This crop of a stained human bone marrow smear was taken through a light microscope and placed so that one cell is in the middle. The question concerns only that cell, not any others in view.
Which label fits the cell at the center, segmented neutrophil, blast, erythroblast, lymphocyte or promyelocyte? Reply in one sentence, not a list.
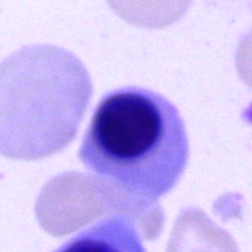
At the middle of the frame sits an erythroblast.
